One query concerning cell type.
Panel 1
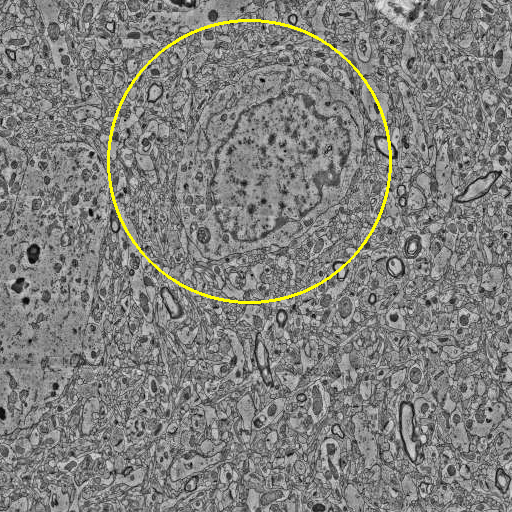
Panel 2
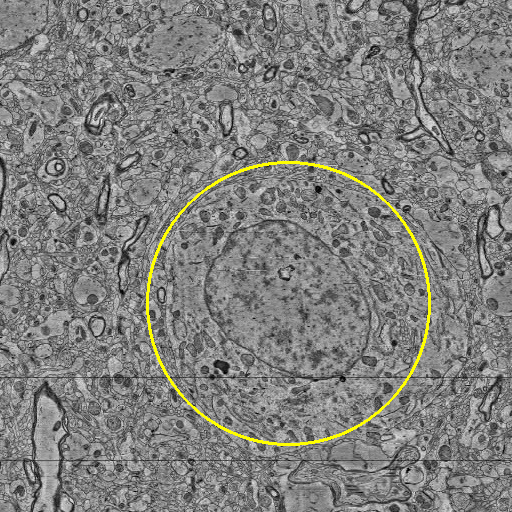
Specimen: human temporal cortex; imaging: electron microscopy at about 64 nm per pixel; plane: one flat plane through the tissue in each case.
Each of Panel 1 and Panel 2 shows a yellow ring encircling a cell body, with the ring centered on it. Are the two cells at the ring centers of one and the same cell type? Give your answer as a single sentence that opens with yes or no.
Yes, the cell centered in Panel 1 and the one in Panel 2 share a type.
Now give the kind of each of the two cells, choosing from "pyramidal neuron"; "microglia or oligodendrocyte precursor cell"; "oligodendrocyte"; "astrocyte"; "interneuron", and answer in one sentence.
Each of the two rings is centred on an interneuron.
